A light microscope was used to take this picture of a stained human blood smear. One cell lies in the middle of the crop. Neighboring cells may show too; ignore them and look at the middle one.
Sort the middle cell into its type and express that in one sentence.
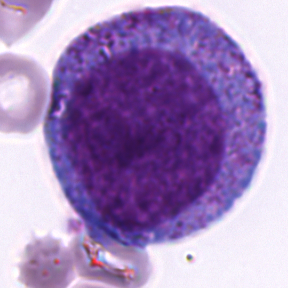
The middle cell in this particular crop is a promyelocyte.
